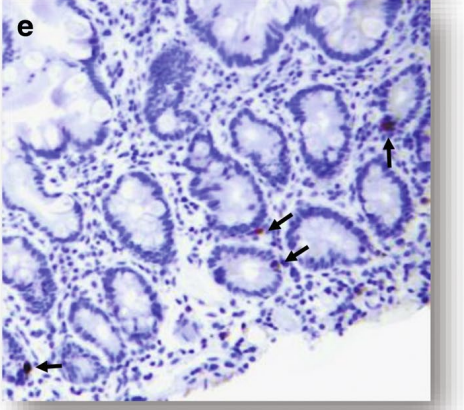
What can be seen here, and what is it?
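The stained cells are few, usually one per crypt at most, and lie within the epithelial ring. The lamina propria between the crypts is filled with many small blue nuclei of stromal and inflammatory cells. Toward the upper left, the epithelium contains pale vacuolated cells.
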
